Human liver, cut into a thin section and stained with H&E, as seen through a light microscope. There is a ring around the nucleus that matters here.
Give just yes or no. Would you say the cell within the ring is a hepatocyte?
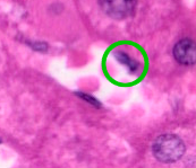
no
